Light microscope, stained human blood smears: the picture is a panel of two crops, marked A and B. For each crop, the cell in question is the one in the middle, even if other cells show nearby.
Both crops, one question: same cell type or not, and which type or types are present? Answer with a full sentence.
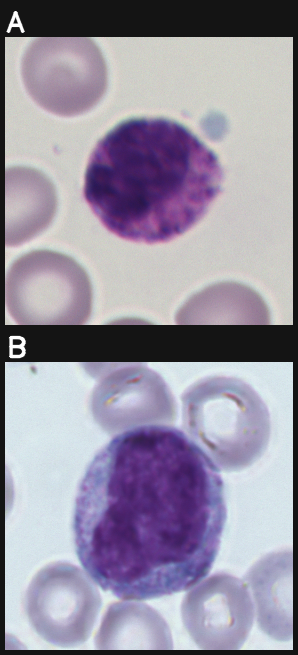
No, mark crop A as a basophil and crop B as a promyelocyte.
